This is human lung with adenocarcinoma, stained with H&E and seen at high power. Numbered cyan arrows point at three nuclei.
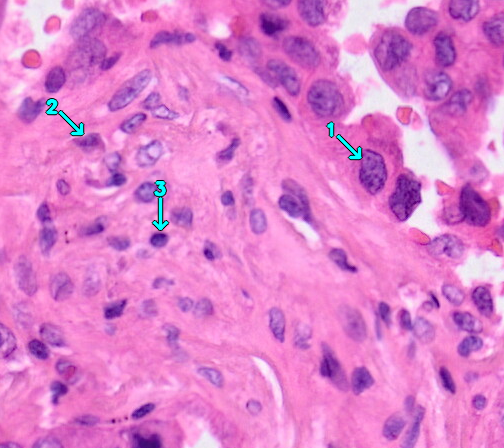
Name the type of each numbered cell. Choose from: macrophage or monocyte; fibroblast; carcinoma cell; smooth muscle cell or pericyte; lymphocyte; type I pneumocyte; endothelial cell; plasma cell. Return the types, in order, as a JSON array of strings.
["carcinoma cell", "plasma cell", "lymphocyte"]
